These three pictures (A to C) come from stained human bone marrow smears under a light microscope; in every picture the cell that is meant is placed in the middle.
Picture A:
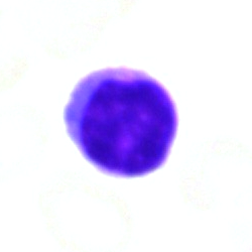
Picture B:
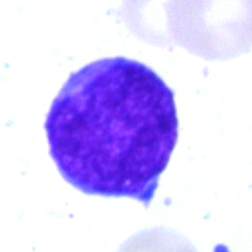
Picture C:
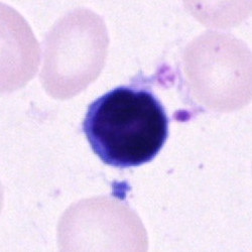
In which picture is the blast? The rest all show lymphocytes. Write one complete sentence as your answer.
It is picture B that shows the blast.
